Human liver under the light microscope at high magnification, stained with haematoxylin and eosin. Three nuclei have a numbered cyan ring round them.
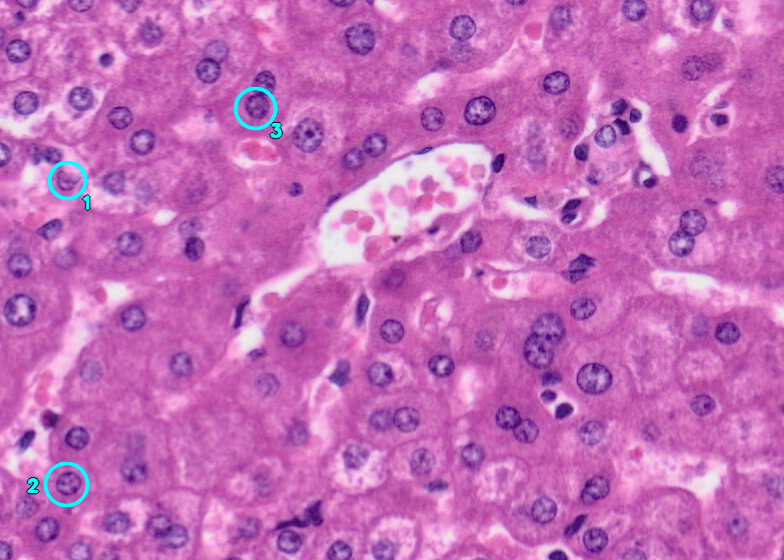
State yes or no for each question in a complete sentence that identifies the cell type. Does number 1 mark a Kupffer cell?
Yes, the cell labelled with number 1 is a Kupffer cell.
